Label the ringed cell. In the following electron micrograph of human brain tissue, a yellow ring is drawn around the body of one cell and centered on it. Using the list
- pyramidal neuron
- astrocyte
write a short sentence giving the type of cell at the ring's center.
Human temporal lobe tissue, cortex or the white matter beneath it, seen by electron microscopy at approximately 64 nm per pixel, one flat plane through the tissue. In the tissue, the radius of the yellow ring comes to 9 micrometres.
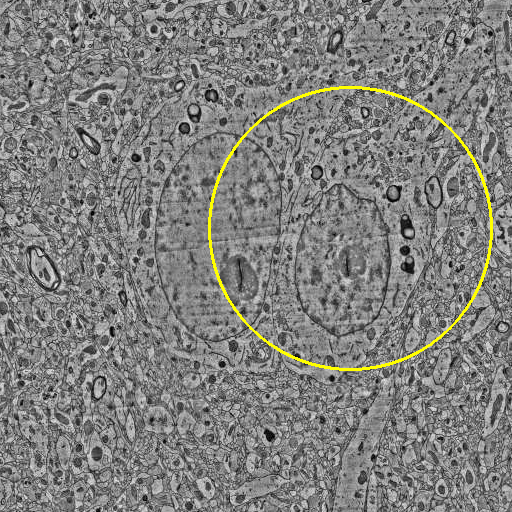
The cell body at the ring's center is that of a pyramidal neuron.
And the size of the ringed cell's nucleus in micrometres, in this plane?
The nucleus is approximately 10 micrometres long but only about 6 wide, clearly longer than it is wide in this plane.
